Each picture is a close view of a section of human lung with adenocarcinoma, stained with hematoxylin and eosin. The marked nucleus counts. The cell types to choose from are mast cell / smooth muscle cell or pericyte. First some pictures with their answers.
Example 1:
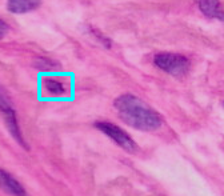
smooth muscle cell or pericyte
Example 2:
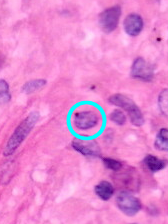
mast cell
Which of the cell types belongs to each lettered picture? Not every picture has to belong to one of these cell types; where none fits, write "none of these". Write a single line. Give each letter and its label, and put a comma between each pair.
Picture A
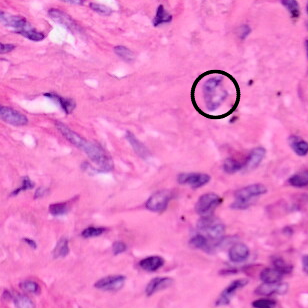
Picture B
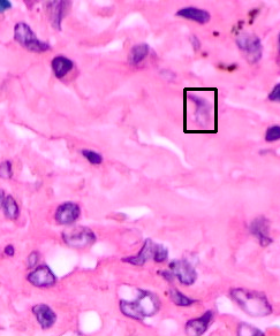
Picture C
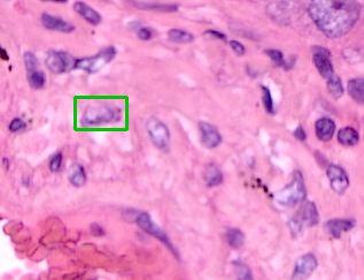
A none of these, B none of these, C none of these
